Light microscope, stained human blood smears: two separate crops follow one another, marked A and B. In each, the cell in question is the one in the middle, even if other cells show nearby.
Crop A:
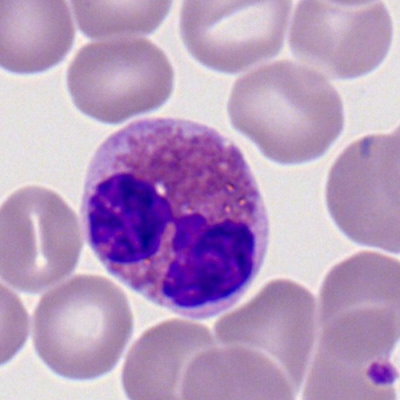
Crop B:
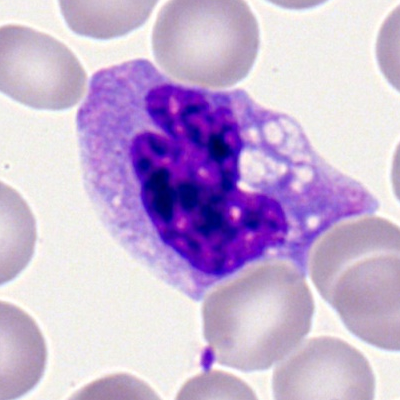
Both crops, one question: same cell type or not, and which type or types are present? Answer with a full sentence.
No, just to correct that: crop A shows an eosinophil, crop B shows a monocyte.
